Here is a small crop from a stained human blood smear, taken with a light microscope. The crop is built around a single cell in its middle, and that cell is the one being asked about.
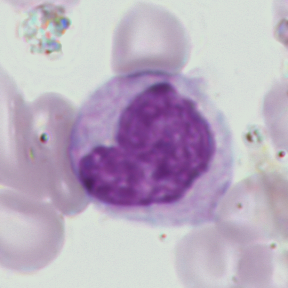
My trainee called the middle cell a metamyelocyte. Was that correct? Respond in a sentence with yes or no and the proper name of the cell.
No, the cell in the middle is recognised as a band neutrophil rather than a metamyelocyte.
